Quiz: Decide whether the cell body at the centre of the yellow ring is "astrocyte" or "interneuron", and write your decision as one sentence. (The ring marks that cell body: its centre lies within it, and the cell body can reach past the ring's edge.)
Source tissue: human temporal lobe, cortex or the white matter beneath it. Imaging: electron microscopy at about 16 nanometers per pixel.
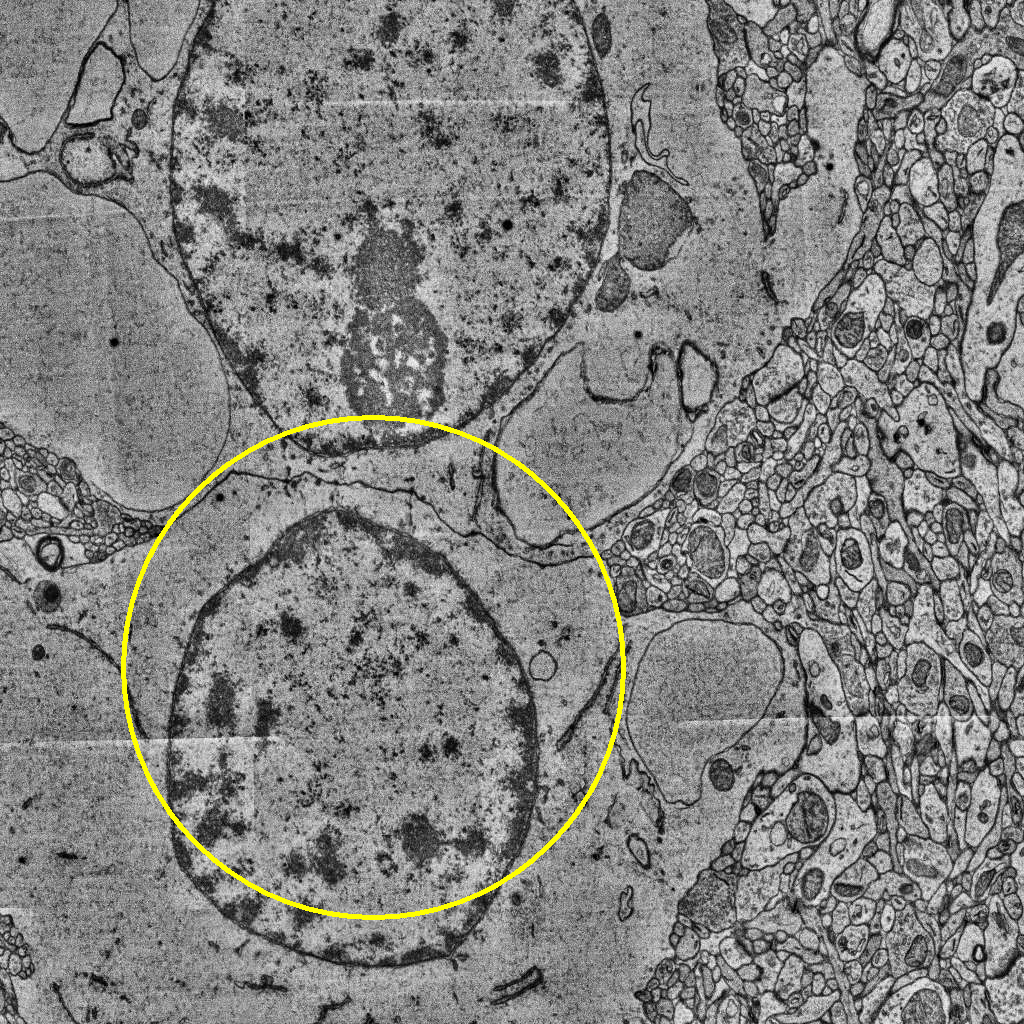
The cell holding the ring's centre is an astrocyte.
